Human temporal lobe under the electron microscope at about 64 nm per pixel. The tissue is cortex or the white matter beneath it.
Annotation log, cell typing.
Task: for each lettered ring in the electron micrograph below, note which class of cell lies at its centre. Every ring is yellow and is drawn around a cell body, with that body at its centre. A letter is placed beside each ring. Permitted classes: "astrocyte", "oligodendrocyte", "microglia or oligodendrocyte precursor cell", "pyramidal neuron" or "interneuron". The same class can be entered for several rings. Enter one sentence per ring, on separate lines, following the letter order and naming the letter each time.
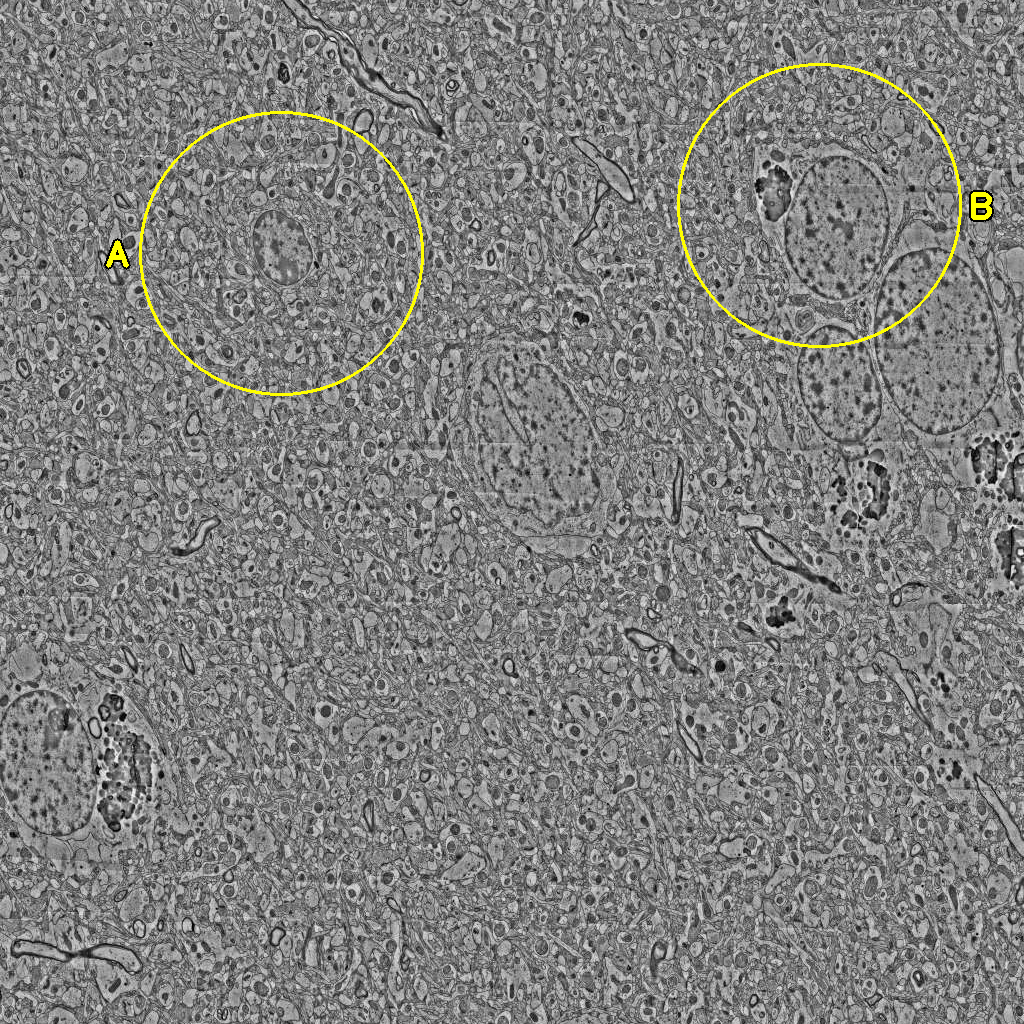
The cell at the centre of ring A is a microglial cell or oligodendrocyte precursor cell.
The cell at the centre of ring B is an astrocyte.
